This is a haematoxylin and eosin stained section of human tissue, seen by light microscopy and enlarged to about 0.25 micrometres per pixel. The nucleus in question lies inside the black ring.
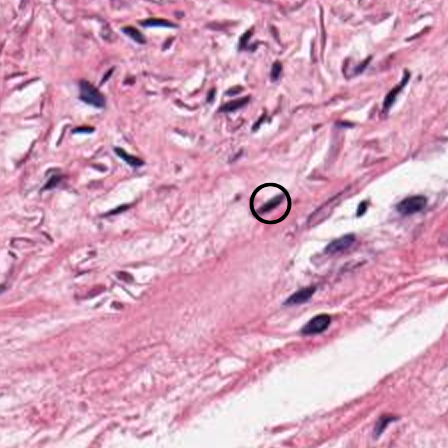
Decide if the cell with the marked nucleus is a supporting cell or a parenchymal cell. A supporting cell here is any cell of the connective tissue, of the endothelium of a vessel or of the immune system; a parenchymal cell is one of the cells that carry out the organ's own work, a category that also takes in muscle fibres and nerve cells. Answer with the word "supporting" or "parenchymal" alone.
supporting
